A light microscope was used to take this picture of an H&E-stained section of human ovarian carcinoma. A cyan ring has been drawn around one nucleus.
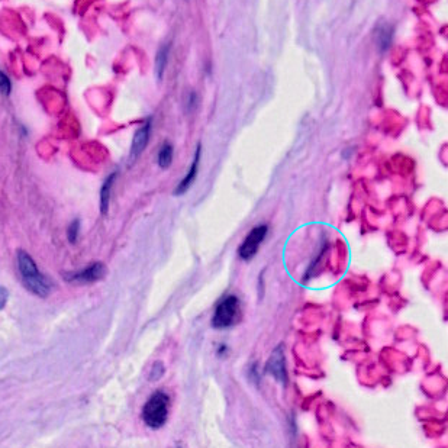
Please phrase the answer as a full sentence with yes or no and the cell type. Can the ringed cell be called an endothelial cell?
Yes, an endothelial cell is the identity of the ringed cell in this section.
